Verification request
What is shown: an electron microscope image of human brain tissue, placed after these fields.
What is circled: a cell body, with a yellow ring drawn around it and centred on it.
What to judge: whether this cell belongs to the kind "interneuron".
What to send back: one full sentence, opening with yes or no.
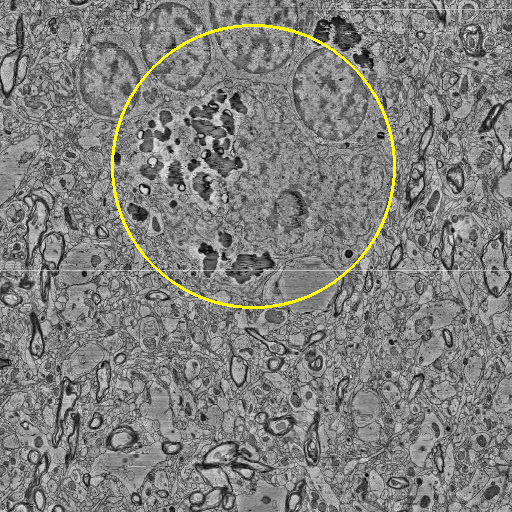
Yes, the cell on which the yellow ring is centred in the picture is of that kind.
